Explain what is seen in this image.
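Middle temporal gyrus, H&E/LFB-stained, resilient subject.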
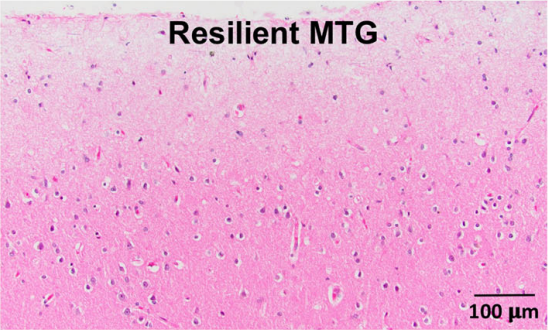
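This is a section of cerebral cortex with the pale pial surface along the top edge. Below a thin cell-poor superficial layer, many neurons with purple nuclei and pink triangular cell bodies lie scattered in a compact, evenly pink neuropil. Small dark glial nuclei are scattered among them, and only a few clear spaces are seen.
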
